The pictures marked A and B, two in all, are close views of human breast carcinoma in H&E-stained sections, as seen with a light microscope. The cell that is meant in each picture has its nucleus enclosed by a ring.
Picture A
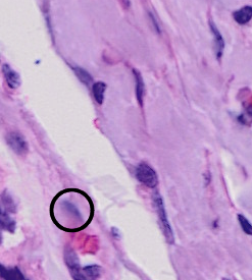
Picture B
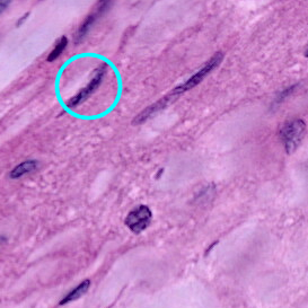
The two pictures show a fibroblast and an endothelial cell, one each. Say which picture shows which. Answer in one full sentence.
In picture A the cell is an endothelial cell; in picture B, a fibroblast.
